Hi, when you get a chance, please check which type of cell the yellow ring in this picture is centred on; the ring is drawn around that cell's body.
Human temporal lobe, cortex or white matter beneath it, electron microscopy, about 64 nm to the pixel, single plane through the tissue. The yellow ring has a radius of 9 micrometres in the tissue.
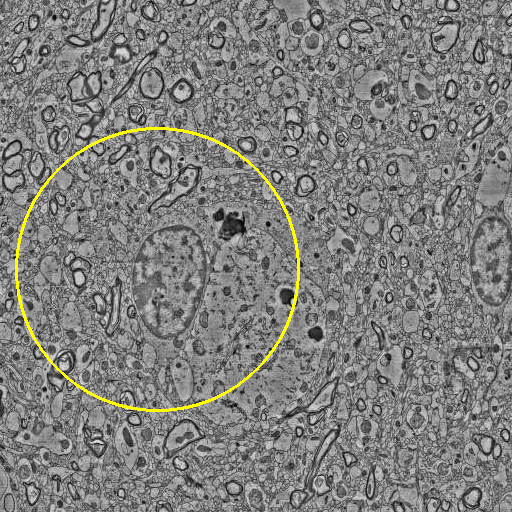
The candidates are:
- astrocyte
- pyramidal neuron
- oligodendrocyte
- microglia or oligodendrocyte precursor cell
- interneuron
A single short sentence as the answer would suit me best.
The ring is drawn around the body of an oligodendrocyte.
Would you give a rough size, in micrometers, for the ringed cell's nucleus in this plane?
In this plane the nucleus measures roughly 7 by 5 micrometres.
